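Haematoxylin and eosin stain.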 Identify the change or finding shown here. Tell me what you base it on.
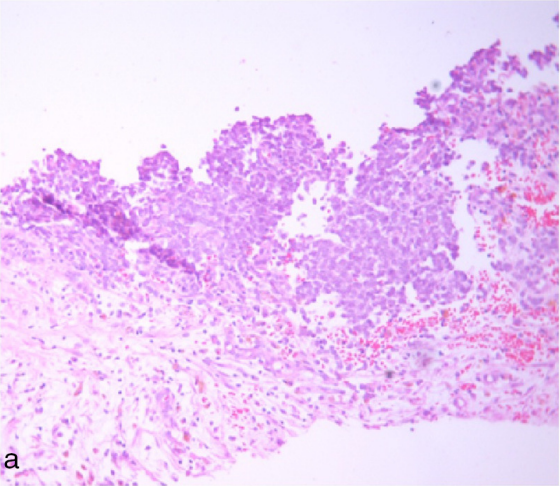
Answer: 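Malignant small, round cell tumour. Sheets of crowded small cells with dark round nuclei. Loose pink fibrous tissue at the lower left beside the cell sheets.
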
